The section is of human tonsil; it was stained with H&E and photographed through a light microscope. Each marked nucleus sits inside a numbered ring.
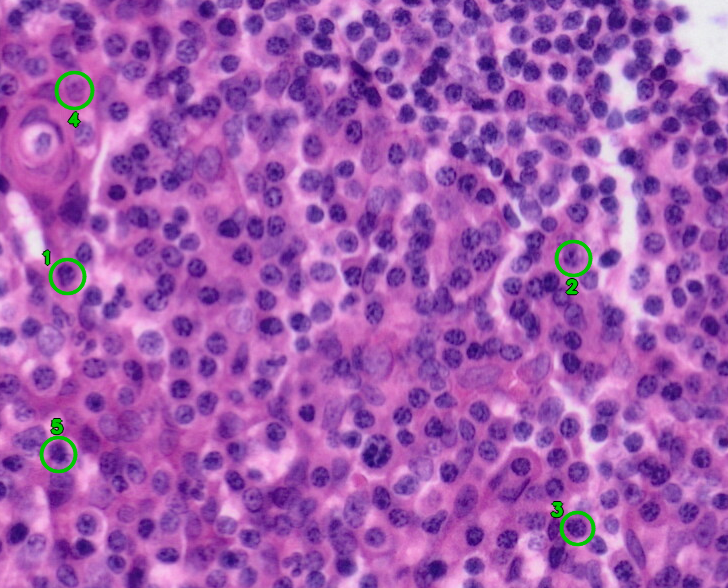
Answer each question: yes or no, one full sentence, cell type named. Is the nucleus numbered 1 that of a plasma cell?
Yes, the numbered cell 1 is identified as a plasma cell.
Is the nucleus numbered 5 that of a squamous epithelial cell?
Yes, the cell labelled with number 5 is a squamous epithelial cell.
